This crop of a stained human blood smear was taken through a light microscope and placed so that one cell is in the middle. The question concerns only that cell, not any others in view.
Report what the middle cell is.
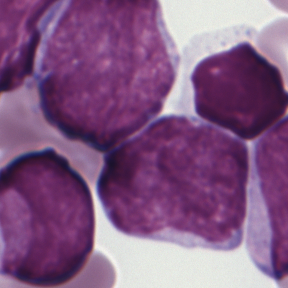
myeloblast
